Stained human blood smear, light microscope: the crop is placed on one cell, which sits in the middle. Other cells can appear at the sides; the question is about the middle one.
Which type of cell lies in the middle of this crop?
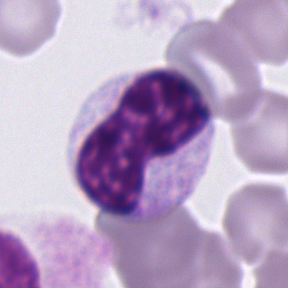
band neutrophil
